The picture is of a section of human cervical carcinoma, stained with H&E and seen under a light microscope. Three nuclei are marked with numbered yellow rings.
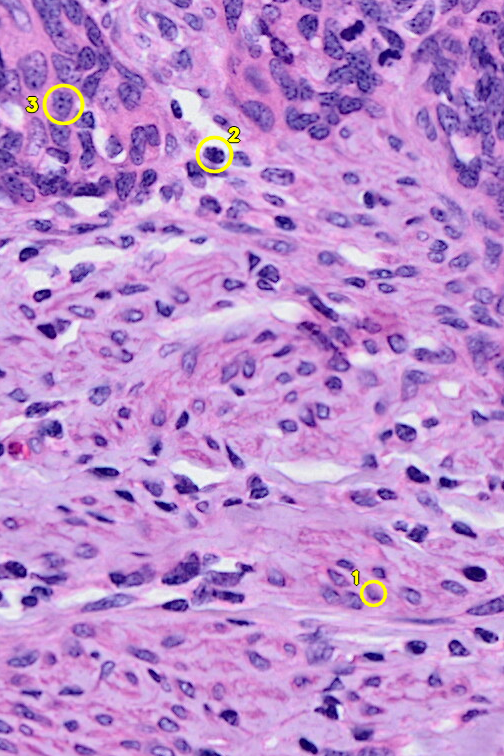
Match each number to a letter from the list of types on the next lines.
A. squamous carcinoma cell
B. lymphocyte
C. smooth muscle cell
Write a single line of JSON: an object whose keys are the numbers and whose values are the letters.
{"1": "C", "2": "B", "3": "A"}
